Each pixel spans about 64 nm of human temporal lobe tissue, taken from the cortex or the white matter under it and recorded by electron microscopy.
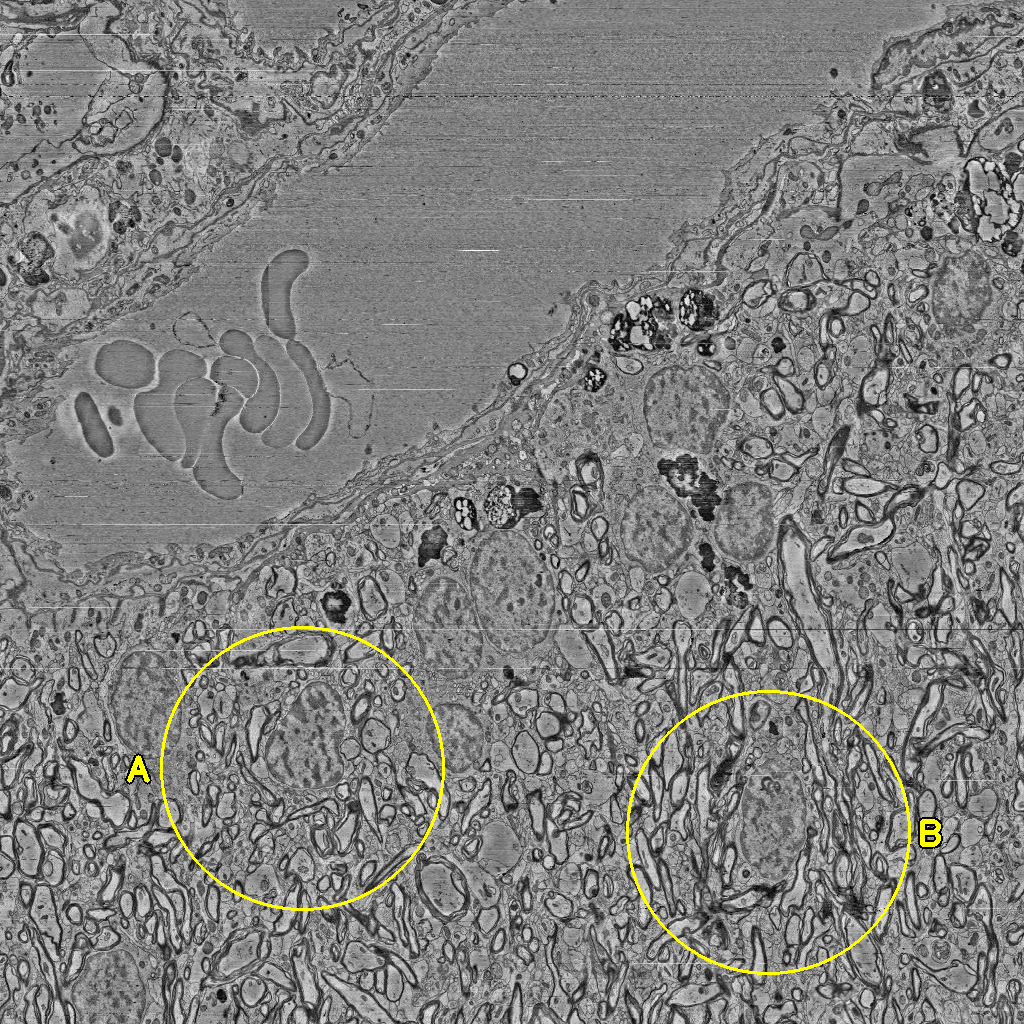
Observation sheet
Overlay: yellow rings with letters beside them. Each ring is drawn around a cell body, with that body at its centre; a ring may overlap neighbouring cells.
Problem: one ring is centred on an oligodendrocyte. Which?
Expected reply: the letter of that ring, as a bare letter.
B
